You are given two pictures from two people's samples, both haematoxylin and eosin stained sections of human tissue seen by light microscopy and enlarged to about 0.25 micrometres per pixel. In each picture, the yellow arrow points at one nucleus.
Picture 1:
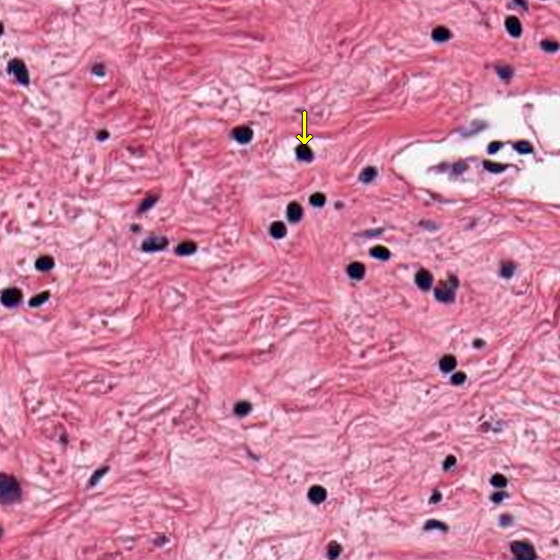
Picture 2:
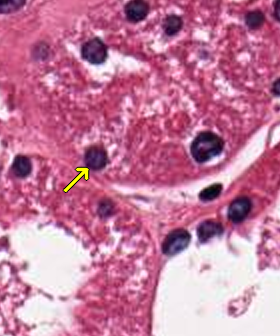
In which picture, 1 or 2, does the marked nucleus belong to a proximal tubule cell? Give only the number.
2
